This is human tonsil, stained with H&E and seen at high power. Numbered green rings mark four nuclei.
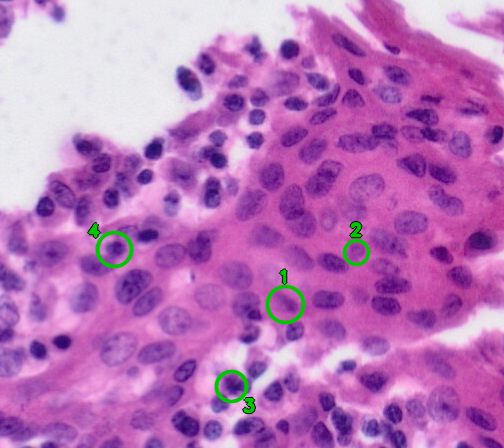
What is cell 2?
squamous epithelial cell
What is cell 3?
plasma cell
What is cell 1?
squamous epithelial cell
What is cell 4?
squamous epithelial cell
